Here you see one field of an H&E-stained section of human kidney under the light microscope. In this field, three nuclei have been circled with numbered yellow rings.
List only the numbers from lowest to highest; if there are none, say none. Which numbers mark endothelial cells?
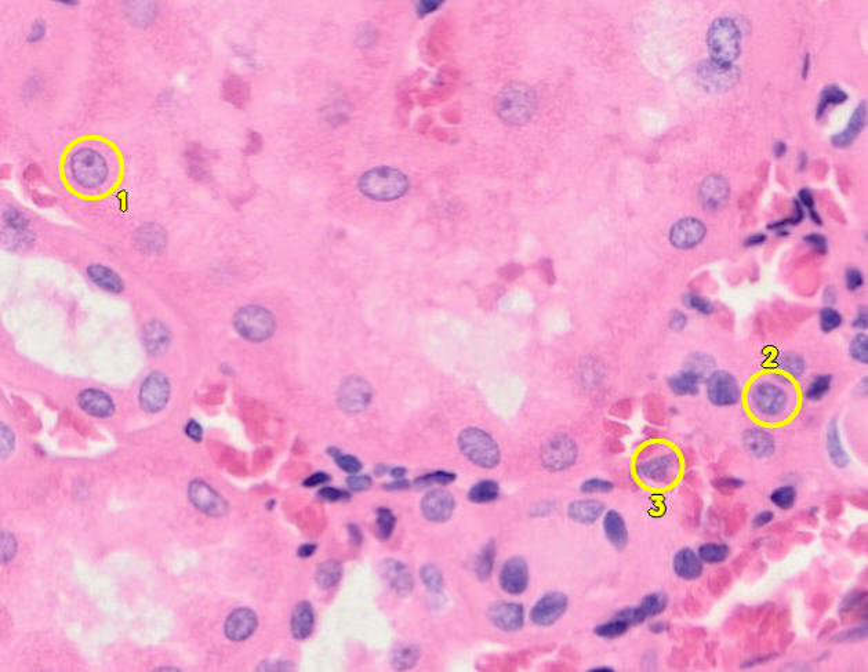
3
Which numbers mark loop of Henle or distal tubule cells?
2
